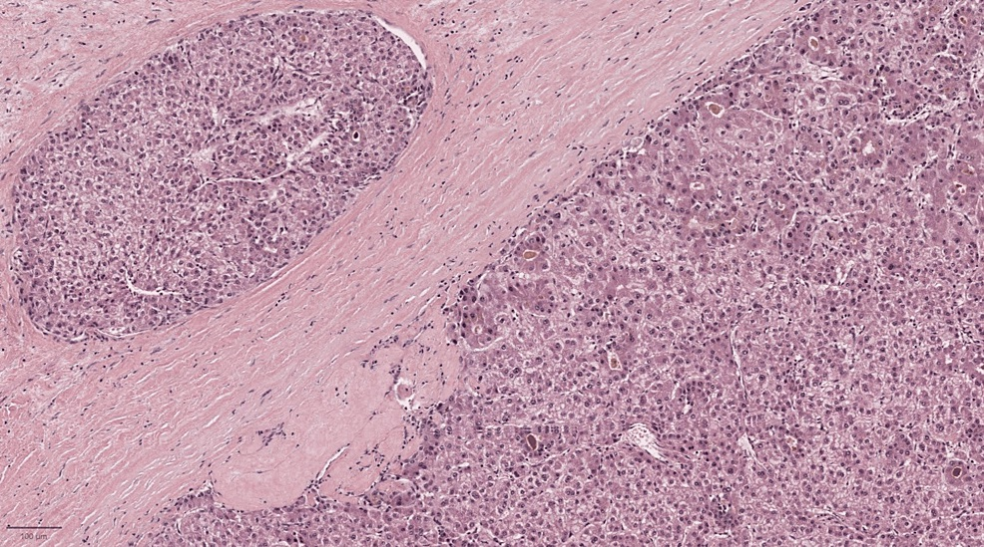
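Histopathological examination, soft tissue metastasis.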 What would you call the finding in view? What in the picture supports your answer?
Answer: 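Hepatocellular carcinoma. Sheets of large polygonal cells with pink to pale cytoplasm and round central nuclei. Small gland-like lumina contain yellow-brown material. Tumor is split into nests by bands of dense pink fibrous tissue.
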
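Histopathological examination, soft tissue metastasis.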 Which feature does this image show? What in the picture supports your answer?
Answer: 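Small round lumina lined by tumor cells are scattered among solid sheets. Several lumina hold yellow-brown plugs. The answer: pseudoglandular patterns.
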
